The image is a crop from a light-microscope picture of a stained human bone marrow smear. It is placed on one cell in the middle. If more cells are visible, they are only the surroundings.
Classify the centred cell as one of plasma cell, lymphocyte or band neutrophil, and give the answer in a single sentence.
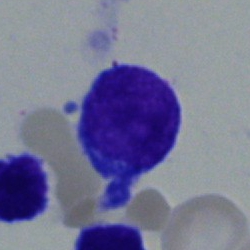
This crop's central cell is a lymphocyte.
